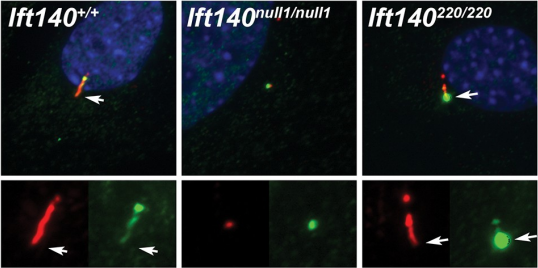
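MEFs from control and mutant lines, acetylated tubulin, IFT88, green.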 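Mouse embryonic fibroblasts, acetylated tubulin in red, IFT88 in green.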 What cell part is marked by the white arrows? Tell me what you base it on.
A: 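Ciliary tip. The arrows point at one end of a short red rod beside the nucleus.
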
